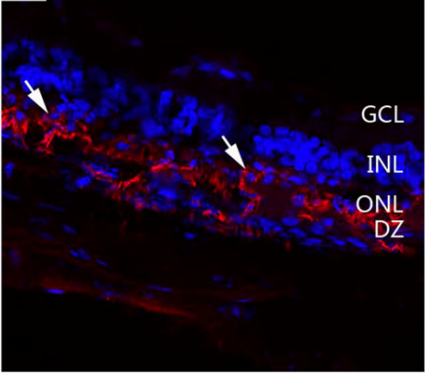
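This retinal section shows stacked rows of blue nuclei forming the nuclear layers, with a thin outer nuclear layer and a debris zone at the outer edge. Red labeling forms irregular, thready streaks that wind among the nuclei of the outer retina instead of lying in a single outer band. Some red streaks outline spaces around nuclei within the cellular layer. Beneath the retina, elongated blue nuclei and faint red fibrous texture mark the underlying tissue. The layers are thin and somewhat disordered.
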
